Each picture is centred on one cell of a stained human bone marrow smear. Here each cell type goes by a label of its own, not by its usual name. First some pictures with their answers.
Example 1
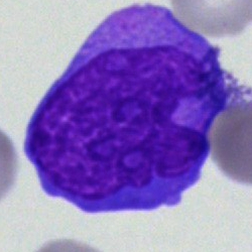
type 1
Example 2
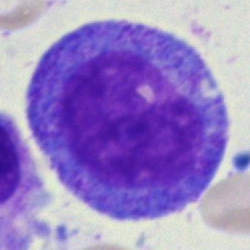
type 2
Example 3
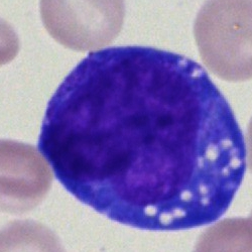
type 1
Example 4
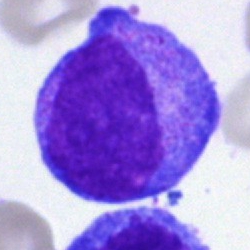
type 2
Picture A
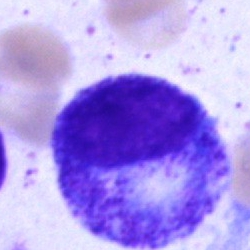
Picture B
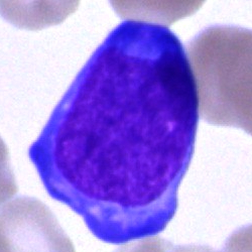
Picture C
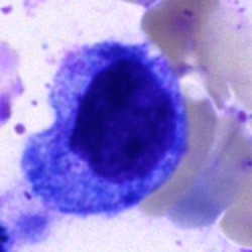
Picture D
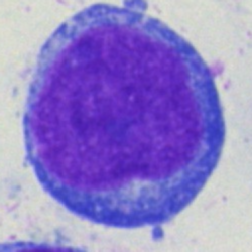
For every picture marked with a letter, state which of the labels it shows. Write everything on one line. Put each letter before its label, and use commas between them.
A type 2, B type 1, C type 2, D type 1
